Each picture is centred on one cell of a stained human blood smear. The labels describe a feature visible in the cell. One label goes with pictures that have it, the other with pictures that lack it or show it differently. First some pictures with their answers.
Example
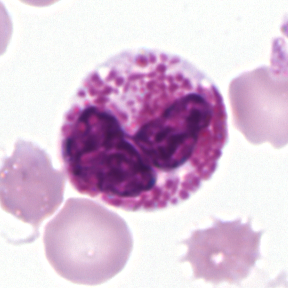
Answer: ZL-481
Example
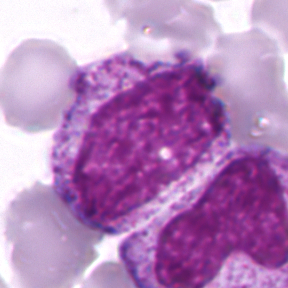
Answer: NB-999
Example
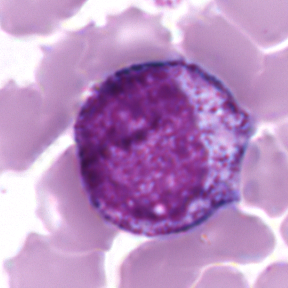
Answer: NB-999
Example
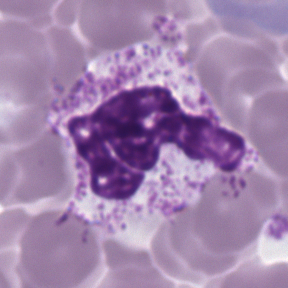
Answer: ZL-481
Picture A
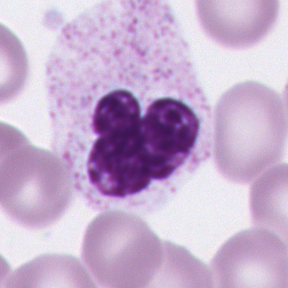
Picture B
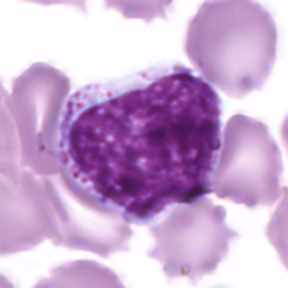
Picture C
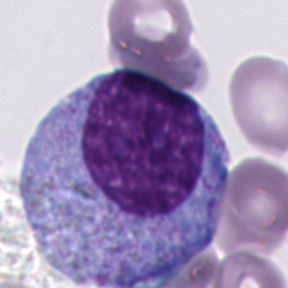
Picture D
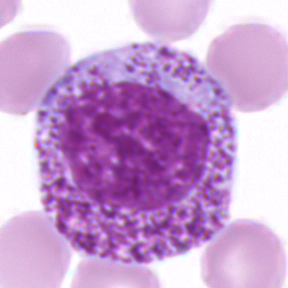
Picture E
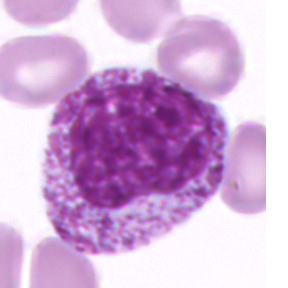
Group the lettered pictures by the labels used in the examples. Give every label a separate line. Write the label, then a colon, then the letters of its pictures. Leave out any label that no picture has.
ZL-481: D, E
NB-999: A, B, C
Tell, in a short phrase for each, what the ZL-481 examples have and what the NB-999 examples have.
In ZL-481: coarse or large granules. In NB-999: fine or small granules.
